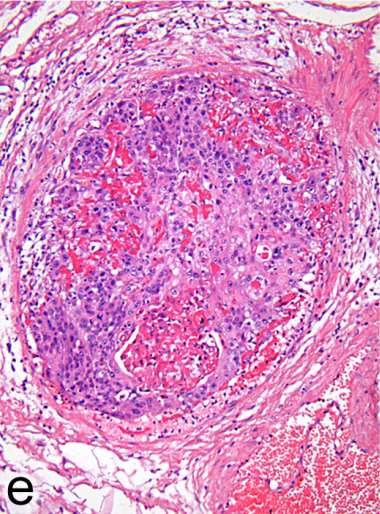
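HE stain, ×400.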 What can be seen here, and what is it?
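A blood vessel is plugged by a tumor thromboembolus: a large round mass of carcinoma cells with big, dark, irregular nuclei and pink cytoplasm, mixed with bright red patches of erythrocytes. The mass fills the lumen almost completely. It is ringed by the vessel wall, whose fibrous and muscular layers form pink concentric bands with elongated nuclei. Outside, loose connective tissue with scattered cells surrounds the vessel, and a pool of red blood cells lies in the lower part of the field.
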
